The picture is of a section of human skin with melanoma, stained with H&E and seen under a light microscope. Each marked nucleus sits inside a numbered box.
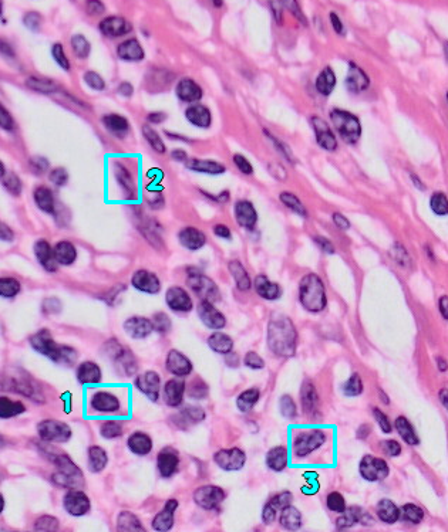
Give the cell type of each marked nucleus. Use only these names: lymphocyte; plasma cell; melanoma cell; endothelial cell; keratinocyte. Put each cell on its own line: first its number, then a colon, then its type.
1: lymphocyte
2: endothelial cell
3: lymphocyte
